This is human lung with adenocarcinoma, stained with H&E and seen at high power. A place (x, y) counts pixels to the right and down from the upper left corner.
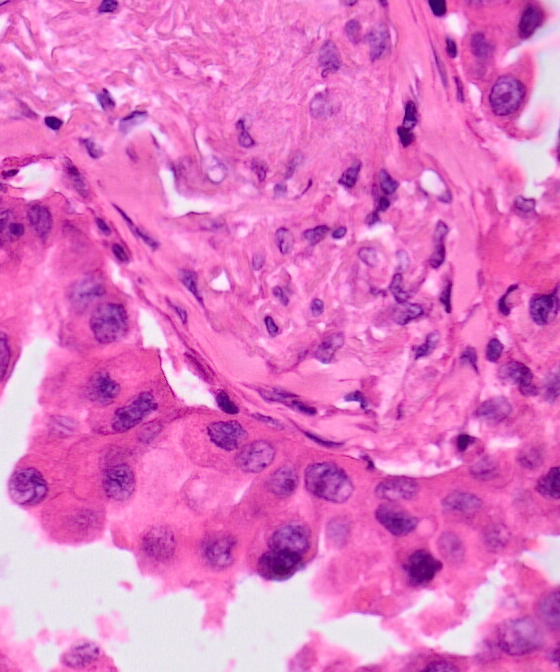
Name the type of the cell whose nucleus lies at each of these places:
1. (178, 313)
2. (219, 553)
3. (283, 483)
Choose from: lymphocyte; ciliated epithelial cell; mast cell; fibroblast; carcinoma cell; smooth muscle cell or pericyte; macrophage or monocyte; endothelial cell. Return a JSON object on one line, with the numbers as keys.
{"1": "fibroblast", "2": "carcinoma cell", "3": "carcinoma cell"}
